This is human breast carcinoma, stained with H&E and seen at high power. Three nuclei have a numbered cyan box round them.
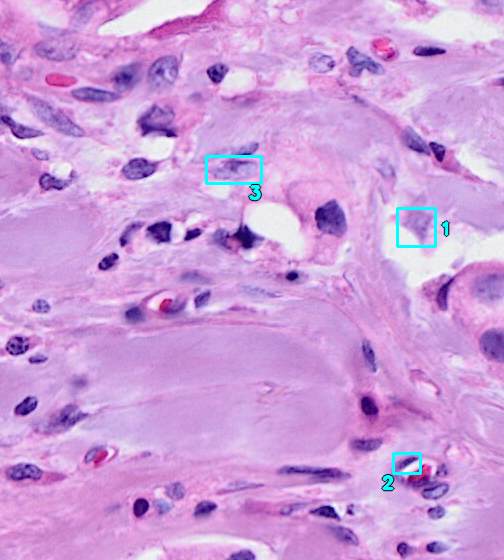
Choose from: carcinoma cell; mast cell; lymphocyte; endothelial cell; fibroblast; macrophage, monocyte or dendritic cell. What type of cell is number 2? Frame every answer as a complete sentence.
The marked nucleus 2 is that of an endothelial cell.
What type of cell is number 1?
Corresponding to a fibroblast is the cell labelled 1.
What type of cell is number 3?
The cell numbered 3 represents a fibroblast.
